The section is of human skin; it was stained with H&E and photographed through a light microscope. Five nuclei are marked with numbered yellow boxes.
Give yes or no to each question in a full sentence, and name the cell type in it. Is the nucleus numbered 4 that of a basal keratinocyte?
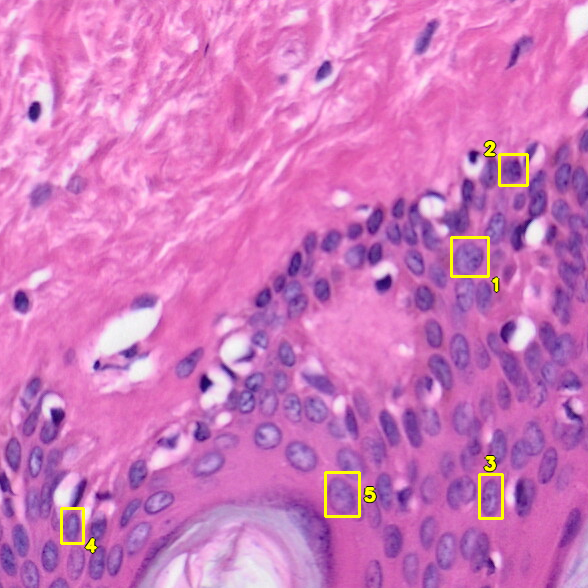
Yes, as for number 4, the cell is a basal keratinocyte.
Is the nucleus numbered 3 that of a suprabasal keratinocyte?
Yes, the cell tagged with the number 3 is a suprabasal keratinocyte.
